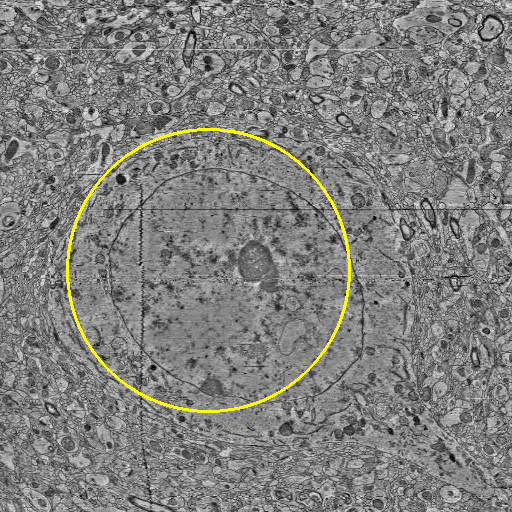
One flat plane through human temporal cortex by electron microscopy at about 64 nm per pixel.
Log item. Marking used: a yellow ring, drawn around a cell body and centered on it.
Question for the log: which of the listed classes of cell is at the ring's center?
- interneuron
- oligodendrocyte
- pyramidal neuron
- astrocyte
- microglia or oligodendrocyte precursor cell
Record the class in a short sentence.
At the center of the ring lies a pyramidal neuron.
